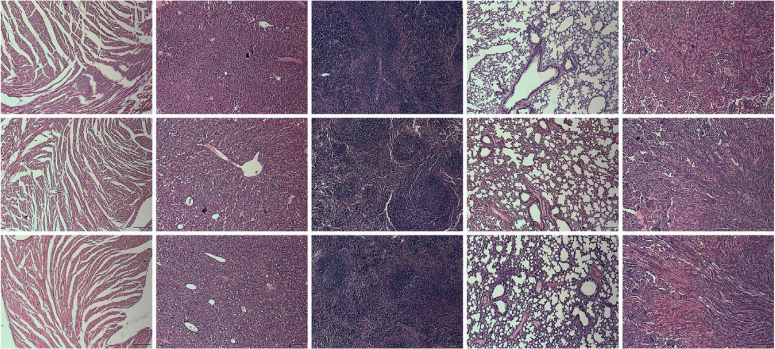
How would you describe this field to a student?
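Sections of heart, liver, spleen, lung and kidney, stained pink and purple, are shown at low magnification in five columns. The heart muscle forms long pink bands of fibres separated by pale clefts. The liver is a uniform field of pink hepatocyte cords around scattered vessel lumens, and the spleen is densely purple, with darker rounded lymphoid nodules. The lung shows many thin-walled, empty air spaces around larger airways and vessels, while the kidney is a dense pink and purple field of packed tubules.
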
